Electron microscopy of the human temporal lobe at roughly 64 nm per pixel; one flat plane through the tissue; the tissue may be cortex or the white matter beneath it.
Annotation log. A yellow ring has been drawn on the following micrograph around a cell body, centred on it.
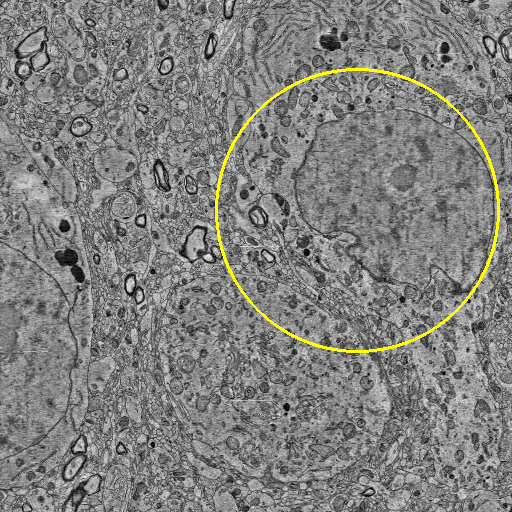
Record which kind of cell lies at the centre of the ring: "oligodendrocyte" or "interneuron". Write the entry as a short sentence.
The cell the ring is centred on is an interneuron.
